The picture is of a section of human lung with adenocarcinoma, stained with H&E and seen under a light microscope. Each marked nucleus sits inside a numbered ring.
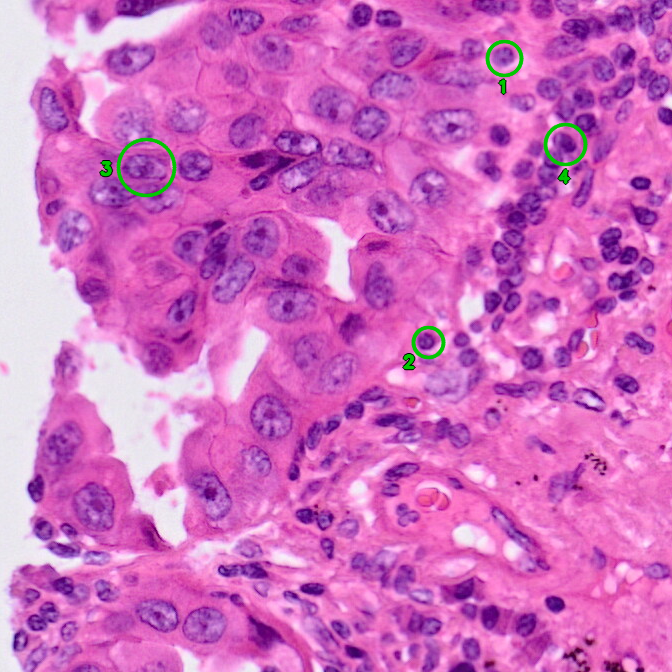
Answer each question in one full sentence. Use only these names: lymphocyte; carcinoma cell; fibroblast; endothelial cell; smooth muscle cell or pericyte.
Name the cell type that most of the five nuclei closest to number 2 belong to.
The majority of the five nuclei closest to number 2 belong to fibroblasts.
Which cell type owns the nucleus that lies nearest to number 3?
The nucleus nearest to number 3 is that of a carcinoma cell.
